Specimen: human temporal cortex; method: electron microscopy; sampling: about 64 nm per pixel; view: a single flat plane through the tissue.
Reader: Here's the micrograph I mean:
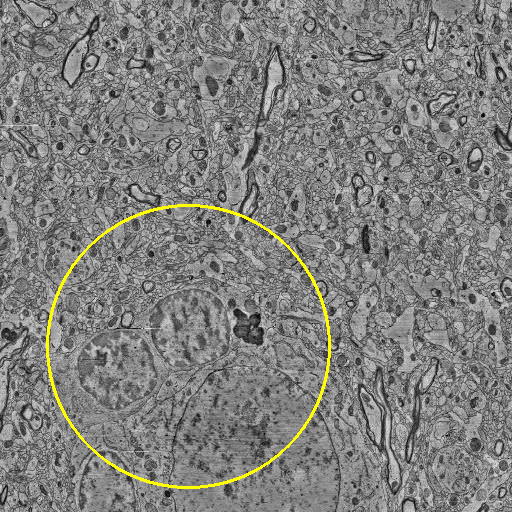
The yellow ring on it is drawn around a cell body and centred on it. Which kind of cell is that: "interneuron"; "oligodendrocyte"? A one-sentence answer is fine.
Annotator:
The ring is centred on an oligodendrocyte.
